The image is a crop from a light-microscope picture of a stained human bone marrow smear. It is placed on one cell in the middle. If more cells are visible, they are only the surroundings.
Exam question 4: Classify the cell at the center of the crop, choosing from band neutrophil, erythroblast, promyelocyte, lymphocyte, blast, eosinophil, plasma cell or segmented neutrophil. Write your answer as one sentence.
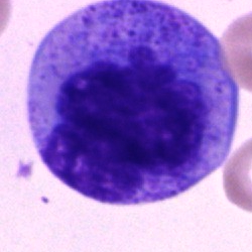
The cell around which this crop is centred is a promyelocyte.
